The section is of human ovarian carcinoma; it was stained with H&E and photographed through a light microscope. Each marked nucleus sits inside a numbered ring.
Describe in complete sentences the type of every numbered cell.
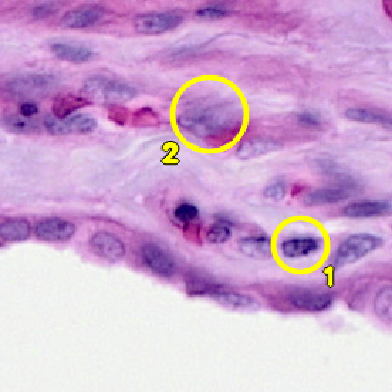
Cell 1 is a lymphocyte. Cell 2 is an endothelial cell.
